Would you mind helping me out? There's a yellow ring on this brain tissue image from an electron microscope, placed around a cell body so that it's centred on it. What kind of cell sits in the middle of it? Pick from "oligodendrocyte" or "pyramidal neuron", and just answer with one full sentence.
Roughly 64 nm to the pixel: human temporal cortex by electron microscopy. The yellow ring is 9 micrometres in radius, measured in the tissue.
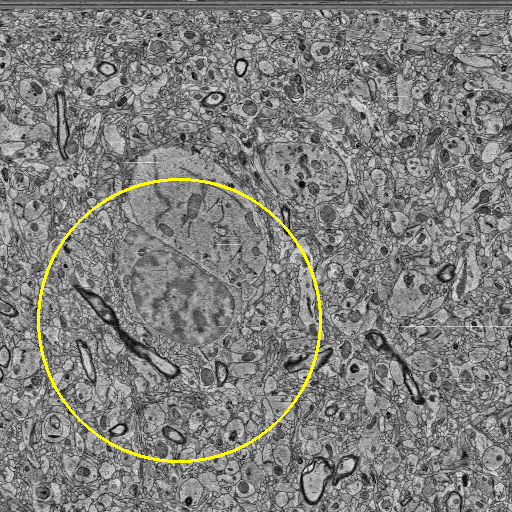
What sits in the middle of that yellow ring is an oligodendrocyte, from your choices.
